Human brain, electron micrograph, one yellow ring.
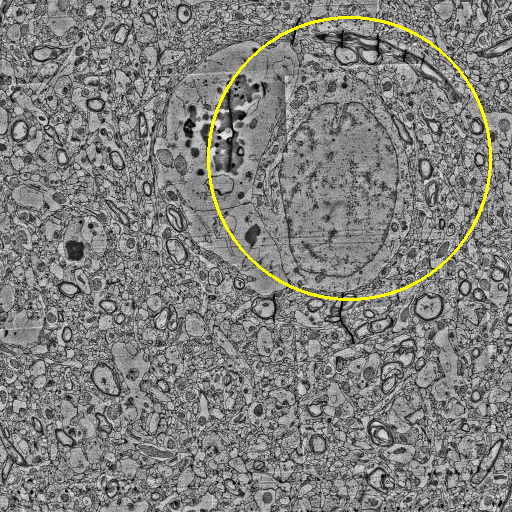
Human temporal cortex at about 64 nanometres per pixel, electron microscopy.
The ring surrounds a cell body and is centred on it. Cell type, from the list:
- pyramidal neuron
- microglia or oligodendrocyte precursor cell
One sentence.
The yellow ring circles a pyramidal neuron.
